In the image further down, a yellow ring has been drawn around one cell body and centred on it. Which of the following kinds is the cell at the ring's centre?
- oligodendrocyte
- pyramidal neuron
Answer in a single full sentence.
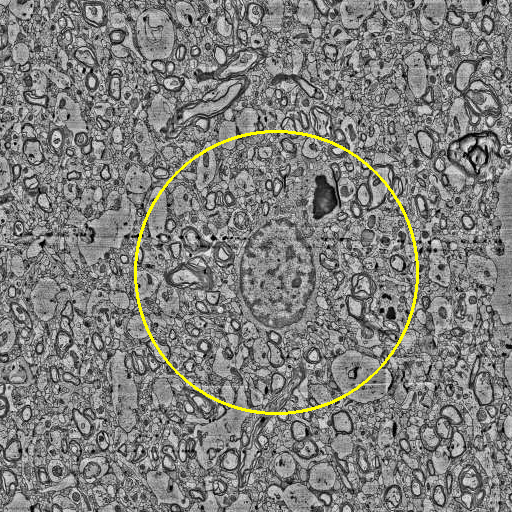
In the picture, the cell sitting at the centre of the yellow ring is an oligodendrocyte.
